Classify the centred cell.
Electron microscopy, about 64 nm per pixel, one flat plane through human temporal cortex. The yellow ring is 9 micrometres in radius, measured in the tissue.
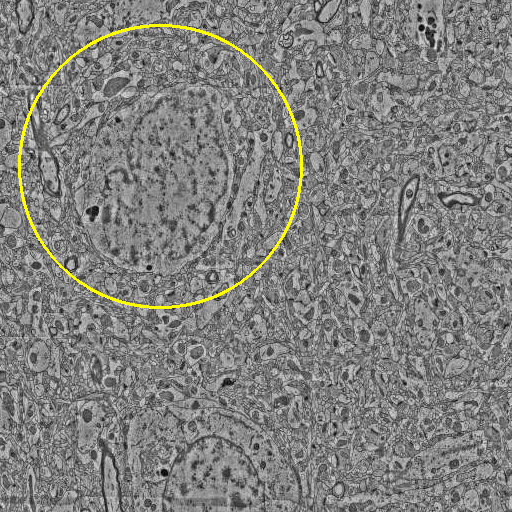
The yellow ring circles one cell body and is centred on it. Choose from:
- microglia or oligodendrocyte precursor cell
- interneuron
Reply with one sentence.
The ring is centred on an interneuron.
